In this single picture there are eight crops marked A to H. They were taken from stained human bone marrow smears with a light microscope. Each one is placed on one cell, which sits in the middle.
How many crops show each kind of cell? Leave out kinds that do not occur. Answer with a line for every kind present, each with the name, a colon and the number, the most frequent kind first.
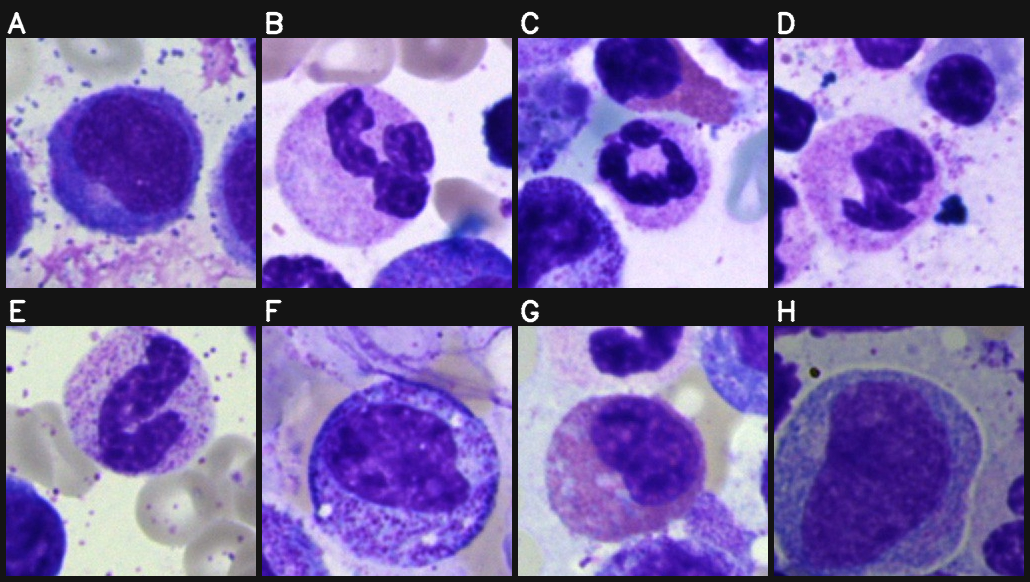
segmented neutrophil: 4
promyelocyte: 3
eosinophil: 1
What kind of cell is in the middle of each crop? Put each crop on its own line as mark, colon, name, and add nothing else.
A: promyelocyte
B: segmented neutrophil
C: segmented neutrophil
D: segmented neutrophil
E: segmented neutrophil
F: promyelocyte
G: eosinophil
H: promyelocyte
